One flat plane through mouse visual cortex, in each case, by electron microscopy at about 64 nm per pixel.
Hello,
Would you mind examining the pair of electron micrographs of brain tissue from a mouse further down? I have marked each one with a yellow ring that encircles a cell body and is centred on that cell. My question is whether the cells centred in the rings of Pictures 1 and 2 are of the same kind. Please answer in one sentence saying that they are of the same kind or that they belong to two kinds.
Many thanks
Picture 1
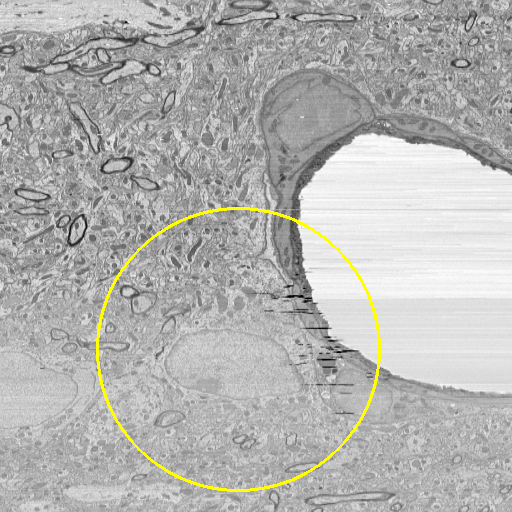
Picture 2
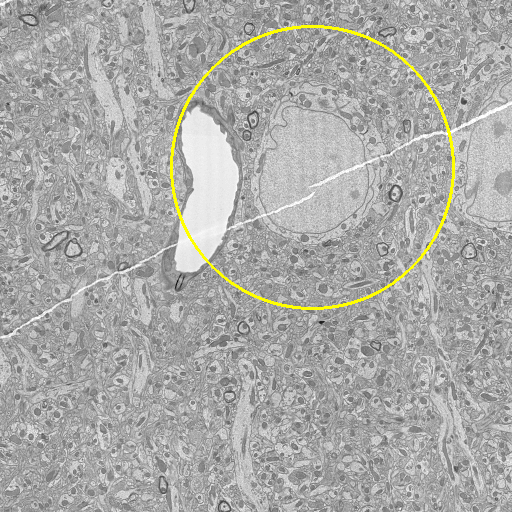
In Pictures 1 and 2, the cells at the heart of the rings belong to two kinds.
